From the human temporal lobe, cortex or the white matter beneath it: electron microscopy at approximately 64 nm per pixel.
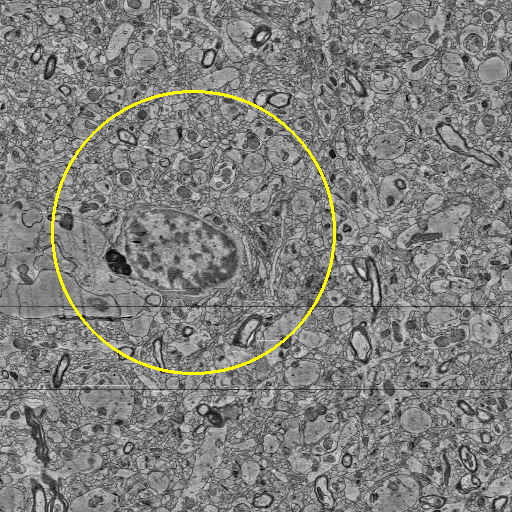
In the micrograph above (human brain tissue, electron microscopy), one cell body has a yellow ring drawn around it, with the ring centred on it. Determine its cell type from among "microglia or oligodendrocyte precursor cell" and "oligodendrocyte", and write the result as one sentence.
The cell whose body is ringed is an oligodendrocyte.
